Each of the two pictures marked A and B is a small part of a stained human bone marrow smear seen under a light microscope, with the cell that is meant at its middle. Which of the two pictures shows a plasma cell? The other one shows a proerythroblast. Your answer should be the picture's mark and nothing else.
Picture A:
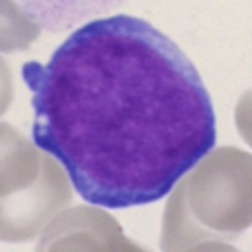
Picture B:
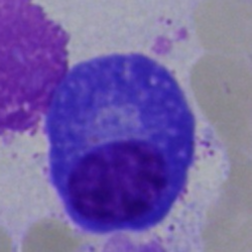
B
